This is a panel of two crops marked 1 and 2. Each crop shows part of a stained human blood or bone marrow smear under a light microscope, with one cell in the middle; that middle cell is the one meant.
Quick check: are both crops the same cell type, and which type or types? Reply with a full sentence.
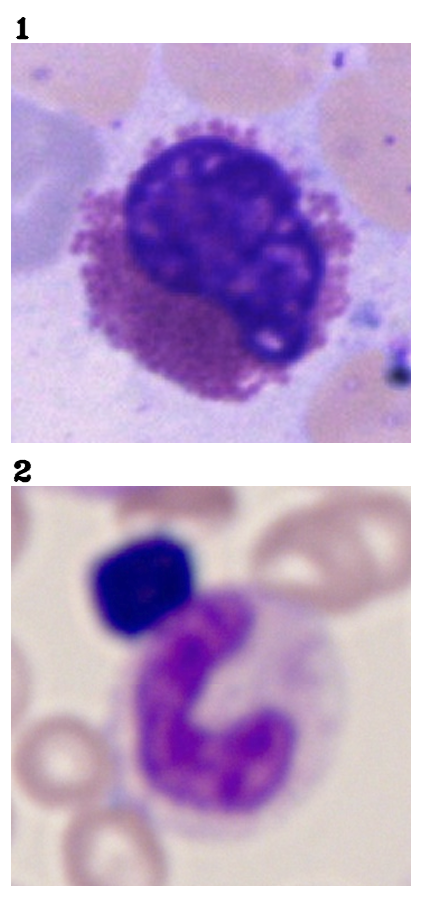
No: an eosinophil sits in crop 1, and a band neutrophil sits in crop 2.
